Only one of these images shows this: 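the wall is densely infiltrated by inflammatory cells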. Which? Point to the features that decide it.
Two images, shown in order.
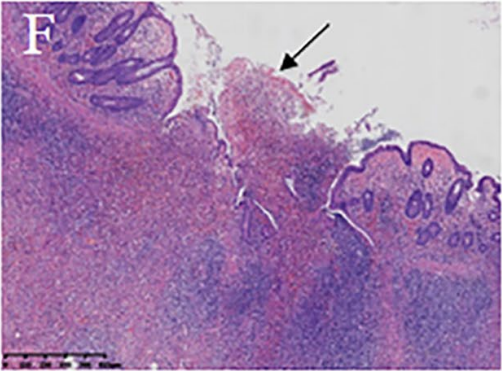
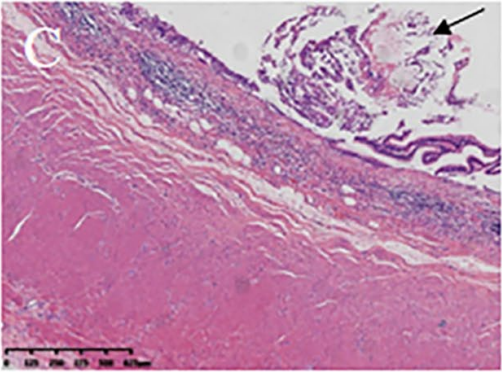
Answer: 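Second image: the wall is mostly pink fibromuscular tissue with few cells. First image: the wall is filled with densely packed small dark purple cells. On this evidence: the first image.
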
